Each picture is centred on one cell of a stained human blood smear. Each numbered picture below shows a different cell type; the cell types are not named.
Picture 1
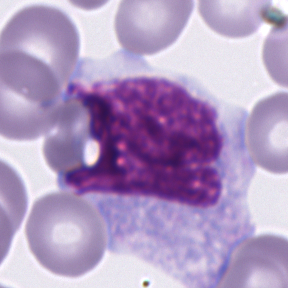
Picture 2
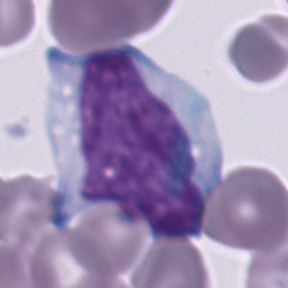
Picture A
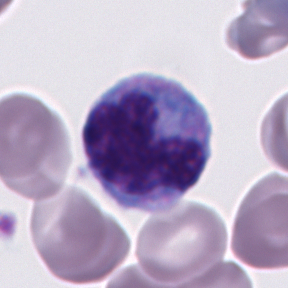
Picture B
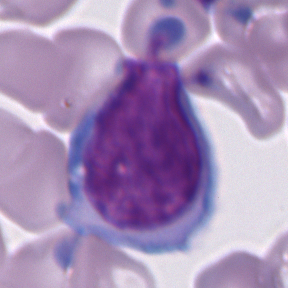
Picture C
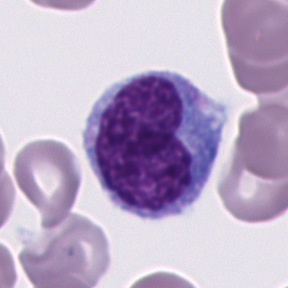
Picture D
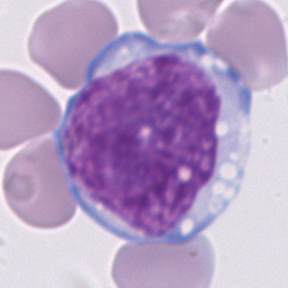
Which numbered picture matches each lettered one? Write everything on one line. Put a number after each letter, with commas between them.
A 1, B 2, C 1, D 2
